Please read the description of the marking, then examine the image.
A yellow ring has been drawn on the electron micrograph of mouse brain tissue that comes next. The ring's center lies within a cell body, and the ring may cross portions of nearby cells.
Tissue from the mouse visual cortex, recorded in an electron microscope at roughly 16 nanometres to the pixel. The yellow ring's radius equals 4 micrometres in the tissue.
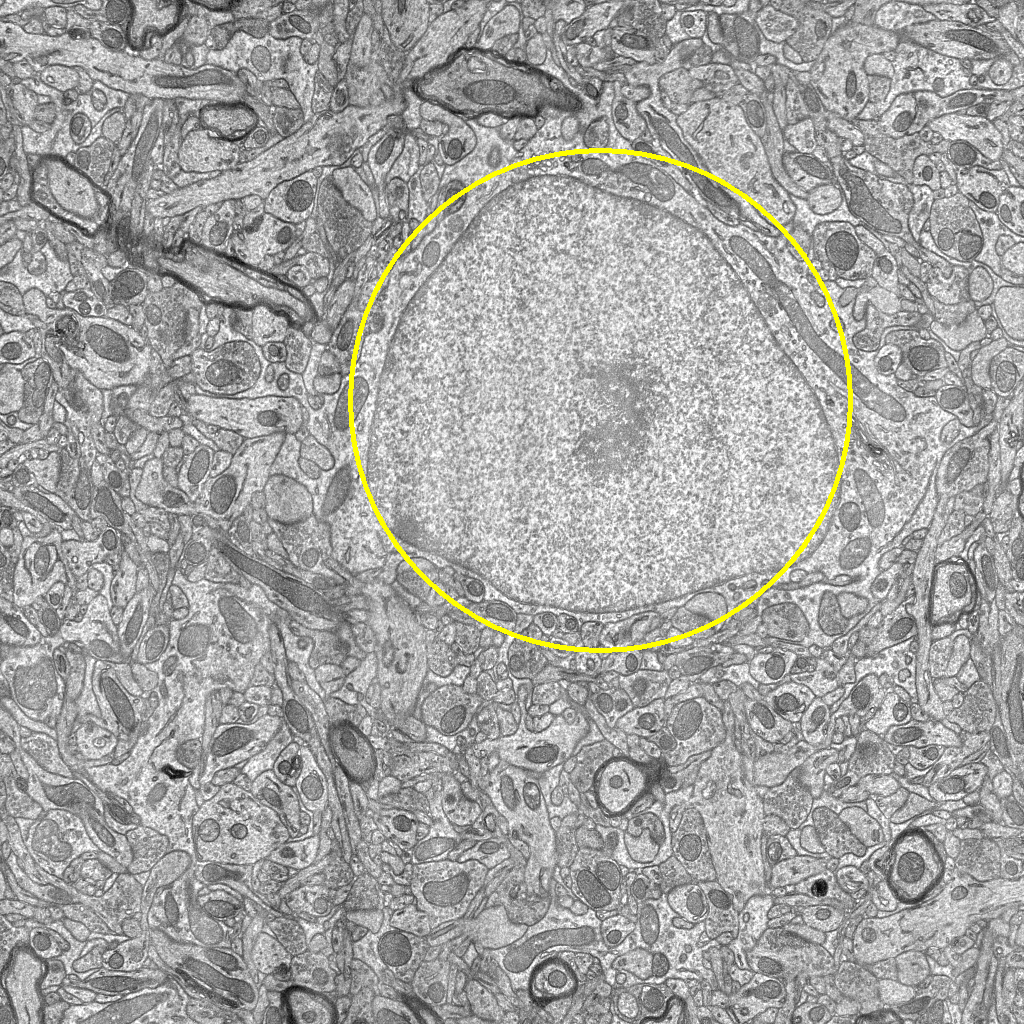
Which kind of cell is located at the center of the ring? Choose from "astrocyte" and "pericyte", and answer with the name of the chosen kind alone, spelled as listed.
astrocyte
